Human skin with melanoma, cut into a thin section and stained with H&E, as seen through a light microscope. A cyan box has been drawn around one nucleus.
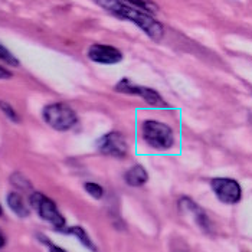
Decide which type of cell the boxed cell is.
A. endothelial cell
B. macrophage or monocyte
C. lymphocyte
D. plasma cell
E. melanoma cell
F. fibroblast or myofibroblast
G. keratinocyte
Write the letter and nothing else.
C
